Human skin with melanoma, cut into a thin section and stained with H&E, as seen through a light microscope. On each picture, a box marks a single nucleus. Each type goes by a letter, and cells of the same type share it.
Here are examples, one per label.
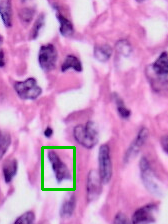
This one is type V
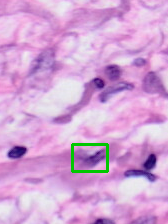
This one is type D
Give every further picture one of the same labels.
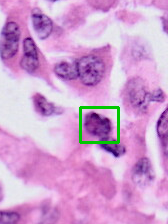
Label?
type V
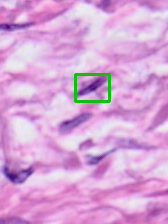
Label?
type D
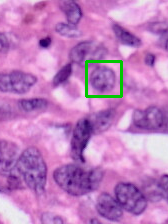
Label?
type V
